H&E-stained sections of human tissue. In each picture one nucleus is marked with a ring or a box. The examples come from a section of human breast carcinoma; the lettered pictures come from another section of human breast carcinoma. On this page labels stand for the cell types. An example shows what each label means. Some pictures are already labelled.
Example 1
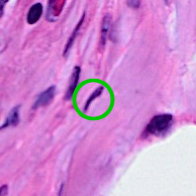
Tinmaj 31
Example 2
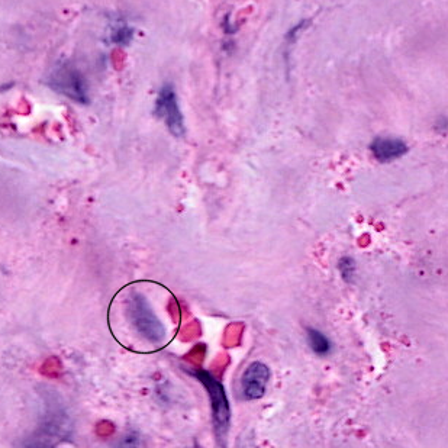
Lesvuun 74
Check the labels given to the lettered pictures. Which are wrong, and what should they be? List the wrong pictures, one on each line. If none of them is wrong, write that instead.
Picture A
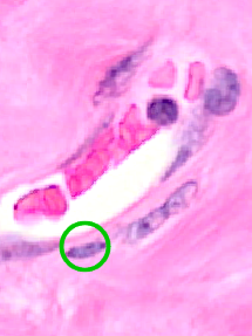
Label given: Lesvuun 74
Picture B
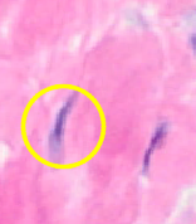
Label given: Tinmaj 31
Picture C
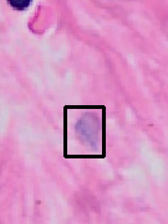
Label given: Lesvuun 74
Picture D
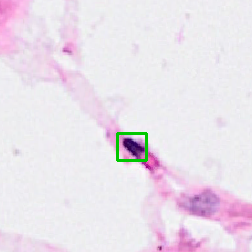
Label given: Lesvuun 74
C: change Lesvuun 74 to Tinmaj 31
